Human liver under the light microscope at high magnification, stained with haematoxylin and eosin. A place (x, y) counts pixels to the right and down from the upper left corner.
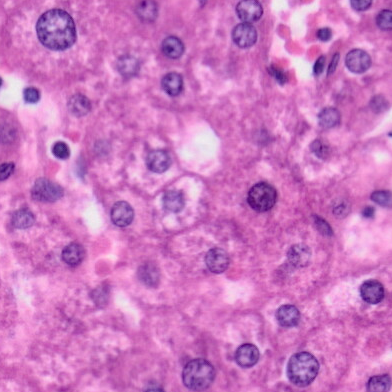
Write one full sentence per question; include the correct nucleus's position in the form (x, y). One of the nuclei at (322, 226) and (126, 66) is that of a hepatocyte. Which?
The nucleus located at (126, 66) is the one held within a hepatocyte.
